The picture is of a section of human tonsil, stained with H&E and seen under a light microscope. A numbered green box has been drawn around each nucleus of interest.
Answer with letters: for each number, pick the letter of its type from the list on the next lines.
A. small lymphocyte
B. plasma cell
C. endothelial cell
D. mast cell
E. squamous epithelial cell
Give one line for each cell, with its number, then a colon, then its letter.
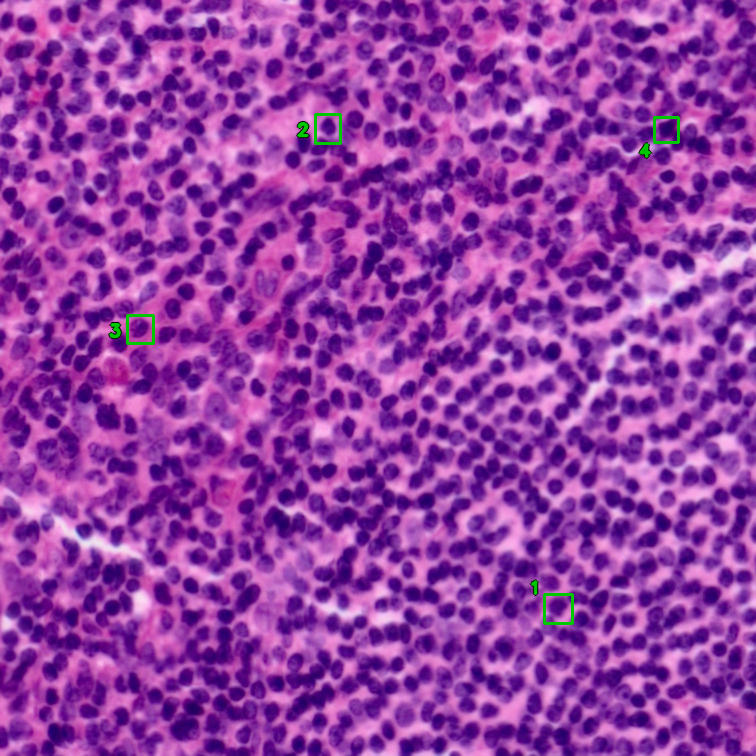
1: A
2: A
3: B
4: A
